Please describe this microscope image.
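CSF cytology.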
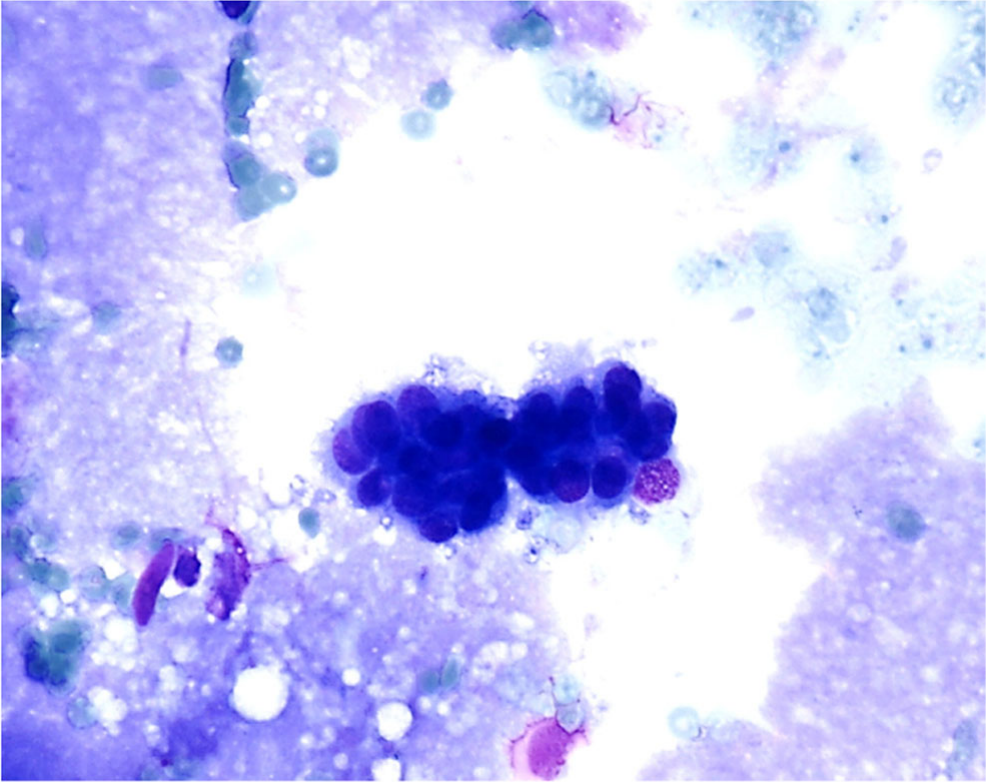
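The cells are crowded and overlapping, with dark purple oval nuclei that fill most of each cell, leaving only a thin rim of pale cytoplasm. Scattered smaller, paler bluish-green cells lie loosely in the surrounding background away from the cluster.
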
